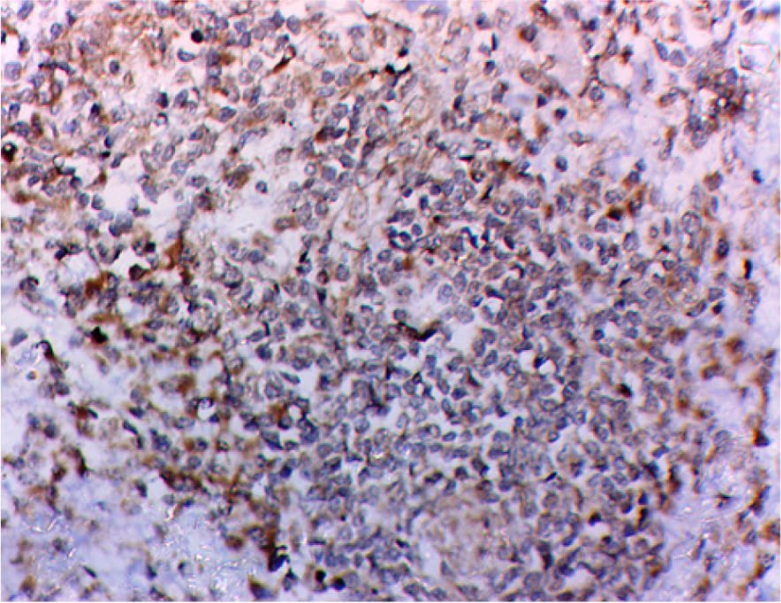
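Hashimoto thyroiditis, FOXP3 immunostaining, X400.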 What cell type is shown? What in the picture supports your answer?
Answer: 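A dense sheet of small, round cells packed closely together. No glandular or epithelial arrangement is seen.
Conclusion: infiltrating lymphocyte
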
